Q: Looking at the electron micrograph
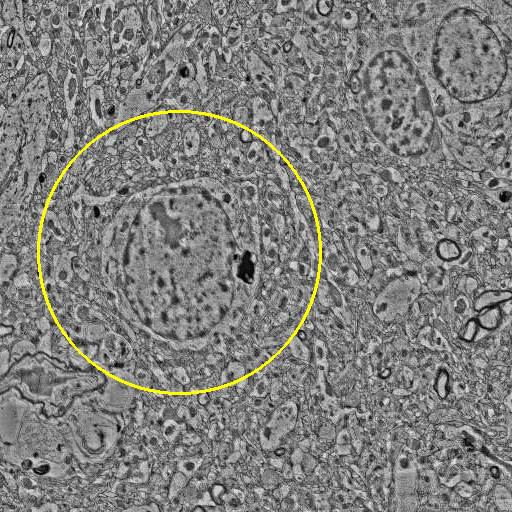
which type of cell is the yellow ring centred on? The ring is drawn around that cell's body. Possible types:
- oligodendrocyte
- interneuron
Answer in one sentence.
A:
The yellow ring is centred on an interneuron.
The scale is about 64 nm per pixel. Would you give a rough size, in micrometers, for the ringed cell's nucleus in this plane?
In this plane, the nucleus of the cell at the centre of the ring measures about 10 by 7 micrometres.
